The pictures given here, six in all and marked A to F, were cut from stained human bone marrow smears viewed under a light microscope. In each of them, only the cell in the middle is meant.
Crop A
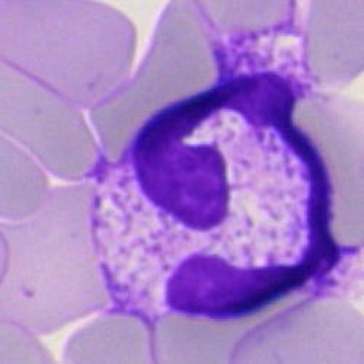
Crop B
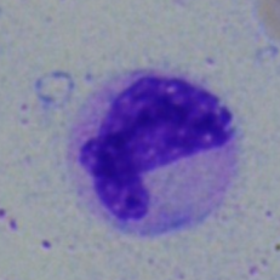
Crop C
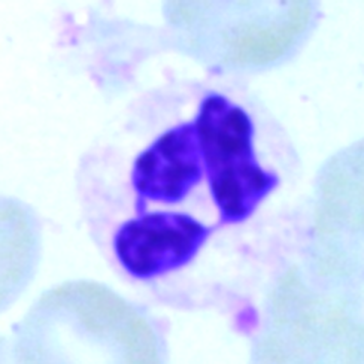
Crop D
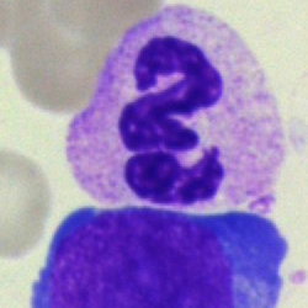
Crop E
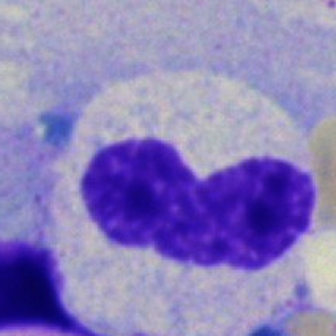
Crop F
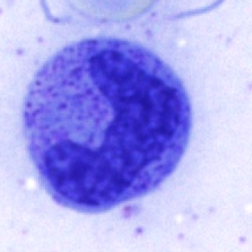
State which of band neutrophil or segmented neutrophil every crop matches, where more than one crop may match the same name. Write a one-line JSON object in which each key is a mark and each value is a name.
{"A": "segmented neutrophil", "B": "band neutrophil", "C": "segmented neutrophil", "D": "segmented neutrophil", "E": "band neutrophil", "F": "band neutrophil"}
